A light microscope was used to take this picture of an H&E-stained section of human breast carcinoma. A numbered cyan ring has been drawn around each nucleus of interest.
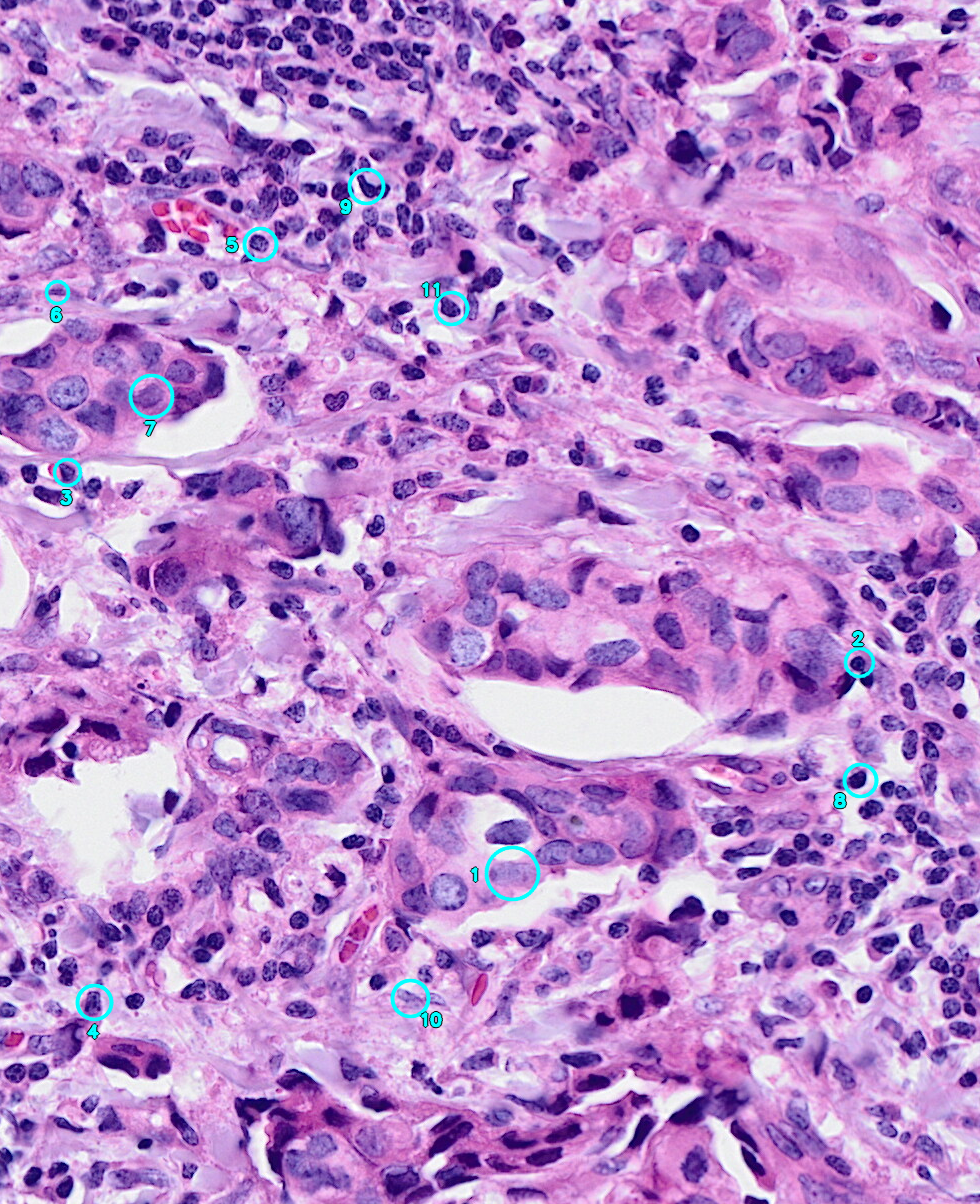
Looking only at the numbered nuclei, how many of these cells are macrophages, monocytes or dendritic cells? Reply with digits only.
2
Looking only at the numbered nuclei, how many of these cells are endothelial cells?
1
